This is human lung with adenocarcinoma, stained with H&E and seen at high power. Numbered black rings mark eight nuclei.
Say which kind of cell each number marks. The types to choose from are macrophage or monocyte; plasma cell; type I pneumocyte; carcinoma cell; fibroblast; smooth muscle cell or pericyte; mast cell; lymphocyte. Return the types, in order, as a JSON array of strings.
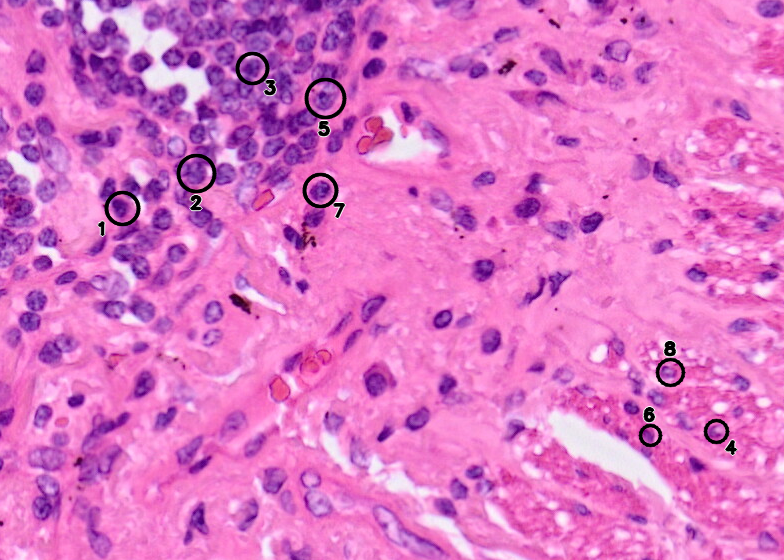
["lymphocyte", "lymphocyte", "lymphocyte", "smooth muscle cell or pericyte", "lymphocyte", "smooth muscle cell or pericyte", "lymphocyte", "smooth muscle cell or pericyte"]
